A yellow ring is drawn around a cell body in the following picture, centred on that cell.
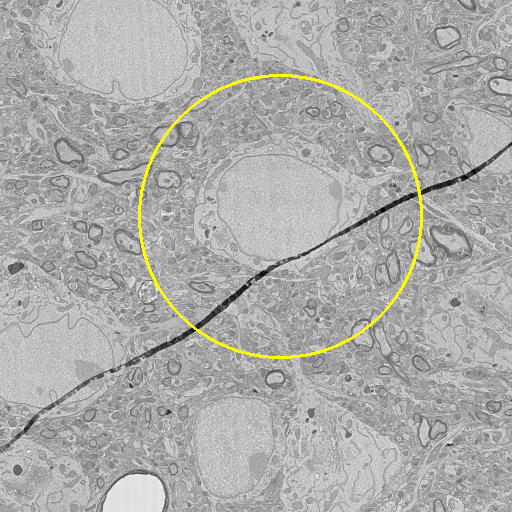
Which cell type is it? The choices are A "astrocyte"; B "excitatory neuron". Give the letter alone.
B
